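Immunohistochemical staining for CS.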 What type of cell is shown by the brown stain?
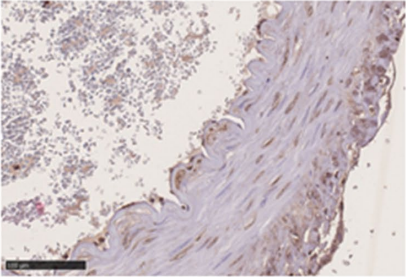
Endothelial cells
